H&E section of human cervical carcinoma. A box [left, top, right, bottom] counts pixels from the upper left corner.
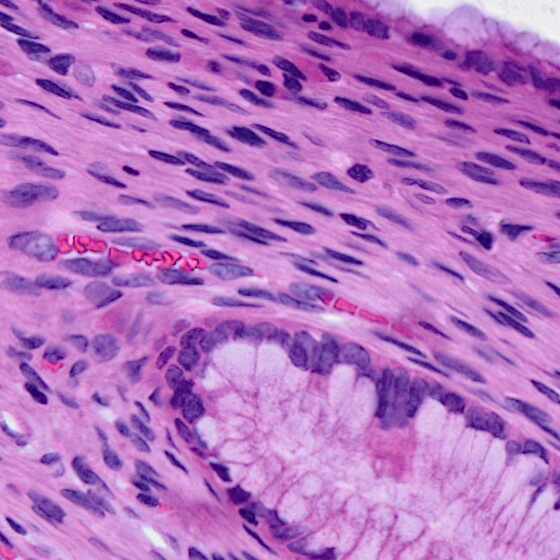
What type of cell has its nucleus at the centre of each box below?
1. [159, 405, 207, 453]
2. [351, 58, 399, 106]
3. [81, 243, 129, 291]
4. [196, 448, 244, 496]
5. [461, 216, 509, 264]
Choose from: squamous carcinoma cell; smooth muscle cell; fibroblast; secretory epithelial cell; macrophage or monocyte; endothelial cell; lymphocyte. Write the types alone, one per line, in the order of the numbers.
secretory epithelial cell
fibroblast
endothelial cell
secretory epithelial cell
lymphocyte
